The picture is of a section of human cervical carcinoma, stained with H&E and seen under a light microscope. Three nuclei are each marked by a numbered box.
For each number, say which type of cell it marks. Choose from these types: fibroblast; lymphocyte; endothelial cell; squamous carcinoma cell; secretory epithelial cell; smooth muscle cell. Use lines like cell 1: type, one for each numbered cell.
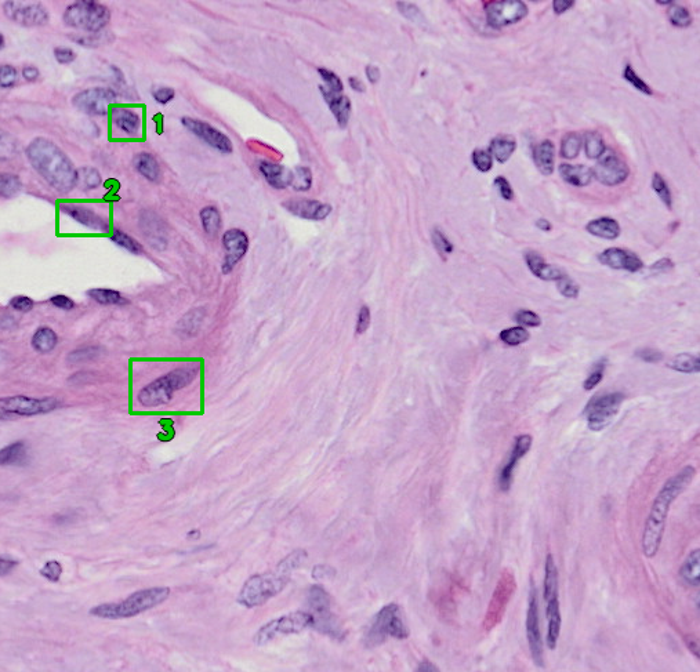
cell 1: smooth muscle cell
cell 2: endothelial cell
cell 3: smooth muscle cell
